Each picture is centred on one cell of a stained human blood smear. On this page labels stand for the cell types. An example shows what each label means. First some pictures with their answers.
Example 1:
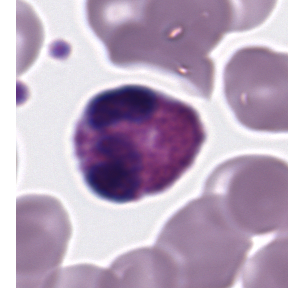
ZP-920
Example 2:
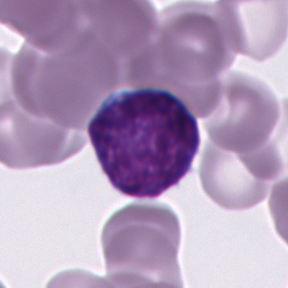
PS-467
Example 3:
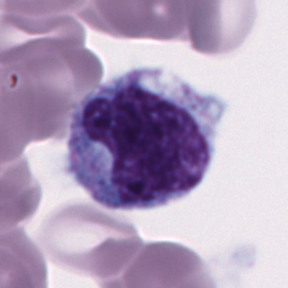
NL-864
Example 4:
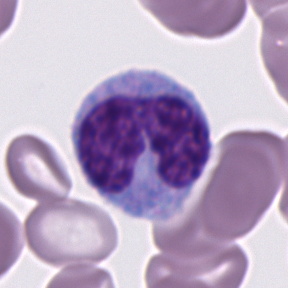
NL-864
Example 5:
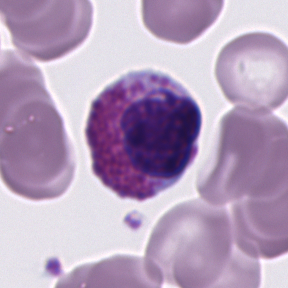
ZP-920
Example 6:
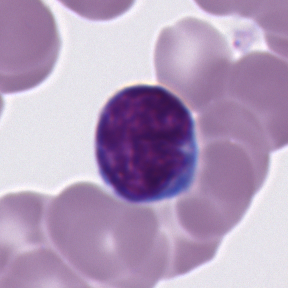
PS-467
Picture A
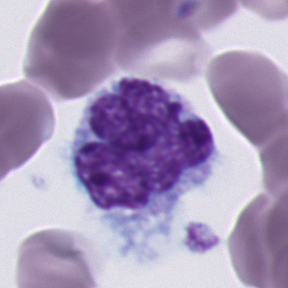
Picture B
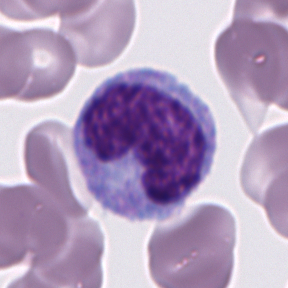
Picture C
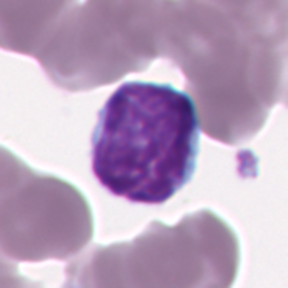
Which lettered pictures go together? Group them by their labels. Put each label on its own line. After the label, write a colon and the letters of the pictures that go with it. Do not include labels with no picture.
PS-467: C
NL-864: A, B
